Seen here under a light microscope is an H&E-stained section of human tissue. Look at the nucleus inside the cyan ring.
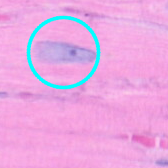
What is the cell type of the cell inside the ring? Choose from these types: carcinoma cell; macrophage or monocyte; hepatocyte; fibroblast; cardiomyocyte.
cardiomyocyte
